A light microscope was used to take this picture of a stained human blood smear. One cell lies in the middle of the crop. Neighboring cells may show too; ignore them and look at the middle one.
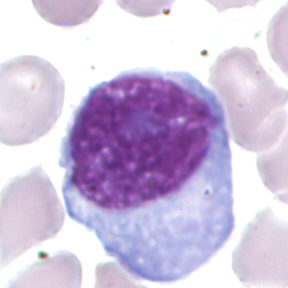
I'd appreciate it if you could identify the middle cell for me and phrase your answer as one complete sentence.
The center cell of this crop is a plasma cell.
